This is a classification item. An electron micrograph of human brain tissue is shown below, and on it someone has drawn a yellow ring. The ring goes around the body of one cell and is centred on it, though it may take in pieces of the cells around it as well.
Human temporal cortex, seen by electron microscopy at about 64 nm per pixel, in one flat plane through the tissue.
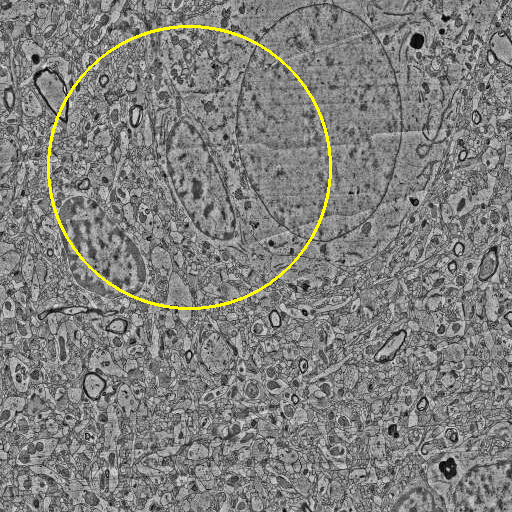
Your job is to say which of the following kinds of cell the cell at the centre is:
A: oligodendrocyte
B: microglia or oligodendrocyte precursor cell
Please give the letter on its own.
B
